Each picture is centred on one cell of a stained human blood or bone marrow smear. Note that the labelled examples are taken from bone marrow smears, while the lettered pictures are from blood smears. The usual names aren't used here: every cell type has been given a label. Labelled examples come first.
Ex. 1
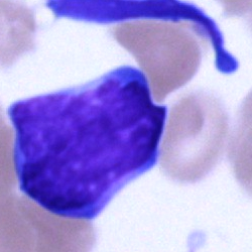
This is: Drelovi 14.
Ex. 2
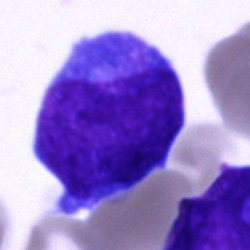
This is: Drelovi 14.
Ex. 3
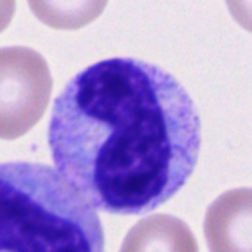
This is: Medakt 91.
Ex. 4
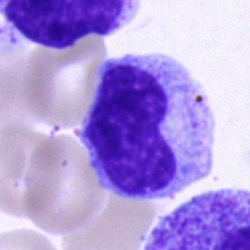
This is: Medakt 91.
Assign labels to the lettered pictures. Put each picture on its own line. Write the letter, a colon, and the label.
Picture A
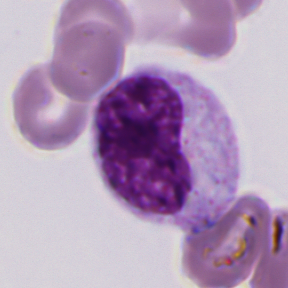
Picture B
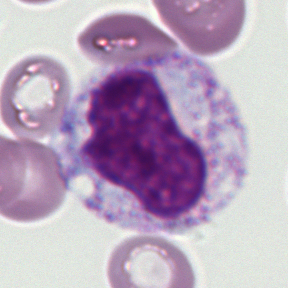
A: Medakt 91.
B: Medakt 91.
